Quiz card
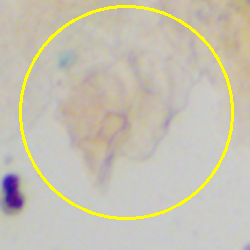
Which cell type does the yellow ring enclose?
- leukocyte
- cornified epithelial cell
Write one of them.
cornified epithelial cell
